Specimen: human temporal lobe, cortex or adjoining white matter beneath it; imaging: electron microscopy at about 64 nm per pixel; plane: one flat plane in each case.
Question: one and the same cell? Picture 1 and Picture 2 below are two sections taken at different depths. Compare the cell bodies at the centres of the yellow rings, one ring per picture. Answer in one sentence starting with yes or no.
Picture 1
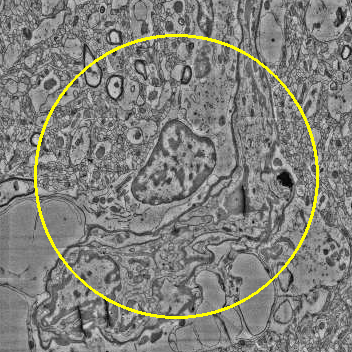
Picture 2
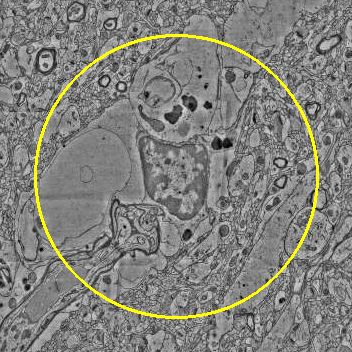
No, the rings single out two cells that are separate from each other.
